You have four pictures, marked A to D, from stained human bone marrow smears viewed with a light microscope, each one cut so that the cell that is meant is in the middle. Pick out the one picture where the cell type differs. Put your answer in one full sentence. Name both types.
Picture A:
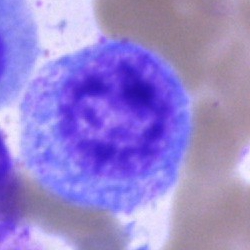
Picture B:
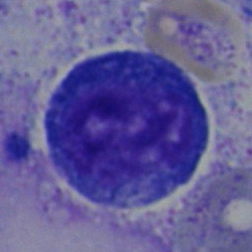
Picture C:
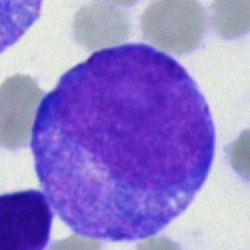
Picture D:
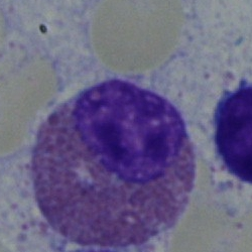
The different one is picture D; it shows an eosinophil, whereas all the others show promyelocytes.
